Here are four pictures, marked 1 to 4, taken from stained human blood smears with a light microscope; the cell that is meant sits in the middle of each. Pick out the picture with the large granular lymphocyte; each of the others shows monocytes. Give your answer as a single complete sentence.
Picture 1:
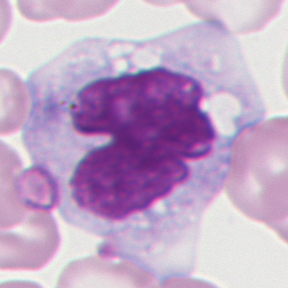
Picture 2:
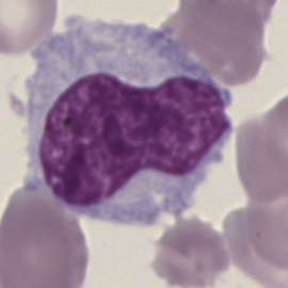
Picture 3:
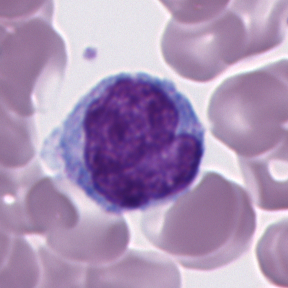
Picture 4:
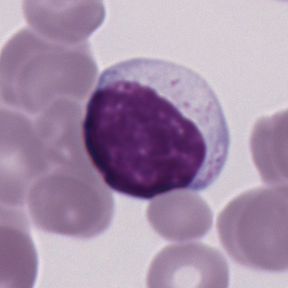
Picture 4 is the one that shows the large granular lymphocyte.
